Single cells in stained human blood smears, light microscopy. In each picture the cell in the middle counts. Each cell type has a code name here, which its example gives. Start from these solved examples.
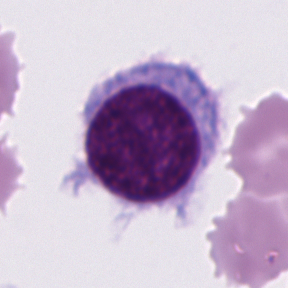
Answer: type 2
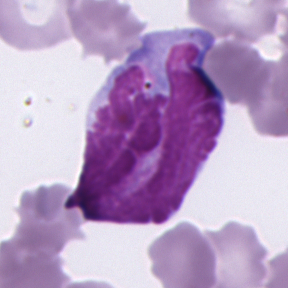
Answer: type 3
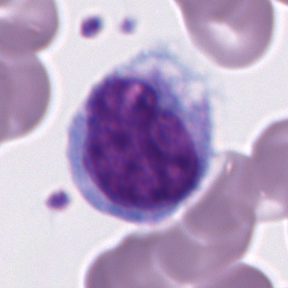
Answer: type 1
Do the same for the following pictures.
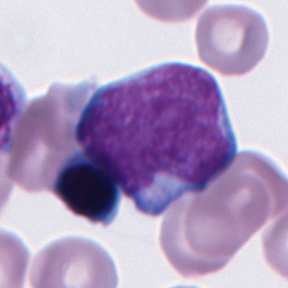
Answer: type 3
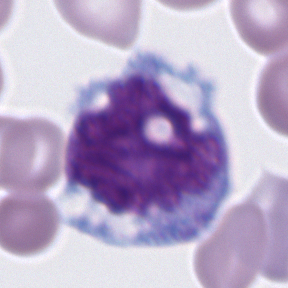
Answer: type 1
